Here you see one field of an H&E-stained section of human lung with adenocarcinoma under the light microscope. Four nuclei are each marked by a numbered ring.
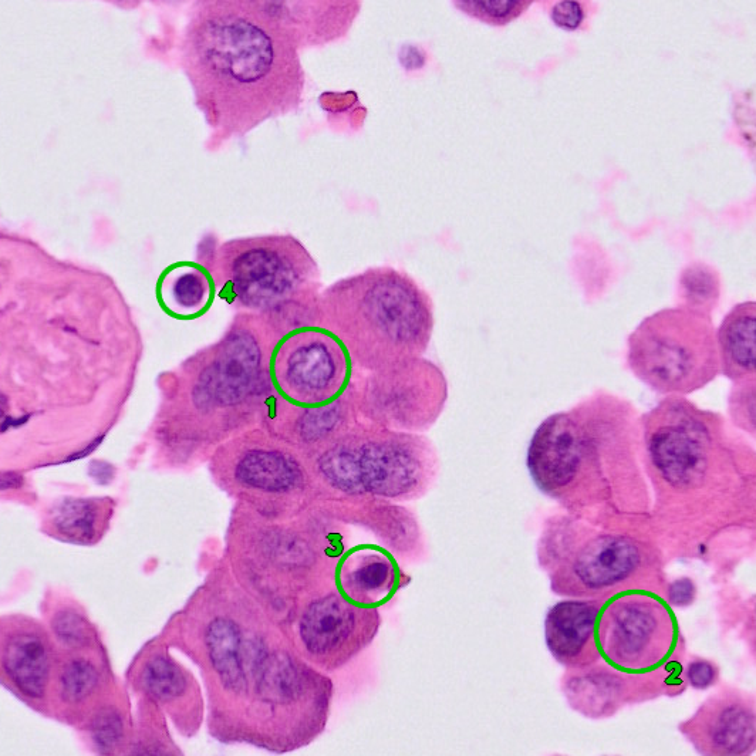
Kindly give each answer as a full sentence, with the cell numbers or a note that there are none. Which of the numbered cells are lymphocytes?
Only the cell with number 4 is a lymphocyte.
